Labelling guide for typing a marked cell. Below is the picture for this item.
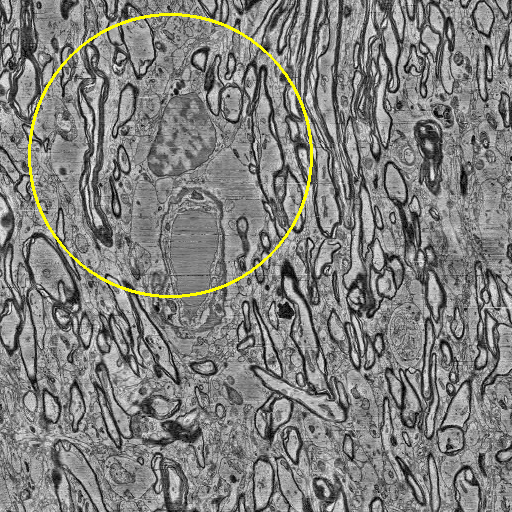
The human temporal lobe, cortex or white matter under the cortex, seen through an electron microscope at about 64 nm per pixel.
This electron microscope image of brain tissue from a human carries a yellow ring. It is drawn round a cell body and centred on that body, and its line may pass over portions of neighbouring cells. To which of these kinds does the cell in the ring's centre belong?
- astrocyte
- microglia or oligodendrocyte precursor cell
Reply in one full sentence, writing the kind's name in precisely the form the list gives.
Here we have a microglial cell or oligodendrocyte precursor cell at the centre of the yellow ring in the picture.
